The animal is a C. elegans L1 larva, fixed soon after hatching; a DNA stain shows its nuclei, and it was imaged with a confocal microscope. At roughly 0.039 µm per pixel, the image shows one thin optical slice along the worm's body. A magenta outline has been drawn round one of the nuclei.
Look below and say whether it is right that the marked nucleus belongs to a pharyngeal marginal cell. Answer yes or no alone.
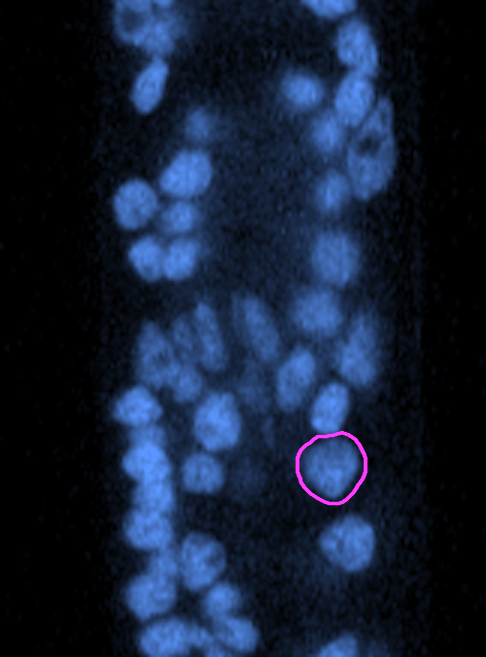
no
